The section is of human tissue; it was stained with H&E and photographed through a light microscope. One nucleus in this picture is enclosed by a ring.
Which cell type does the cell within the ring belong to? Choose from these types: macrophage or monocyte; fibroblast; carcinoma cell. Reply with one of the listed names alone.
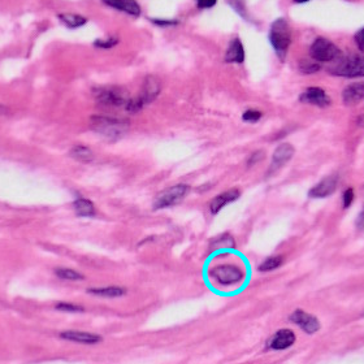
fibroblast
